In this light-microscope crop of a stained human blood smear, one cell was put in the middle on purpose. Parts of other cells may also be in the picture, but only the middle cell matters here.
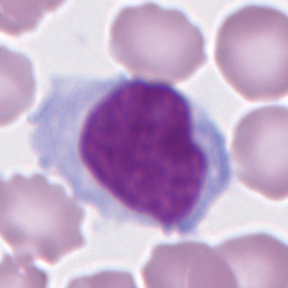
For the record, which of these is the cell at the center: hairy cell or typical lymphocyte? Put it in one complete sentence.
The single cell at the center of the crop is a hairy cell.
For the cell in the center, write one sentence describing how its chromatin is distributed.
The chromatin is fine; coarse clumps are not a feature here.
